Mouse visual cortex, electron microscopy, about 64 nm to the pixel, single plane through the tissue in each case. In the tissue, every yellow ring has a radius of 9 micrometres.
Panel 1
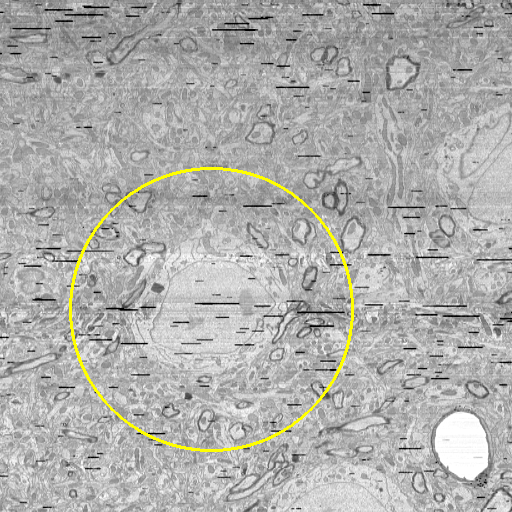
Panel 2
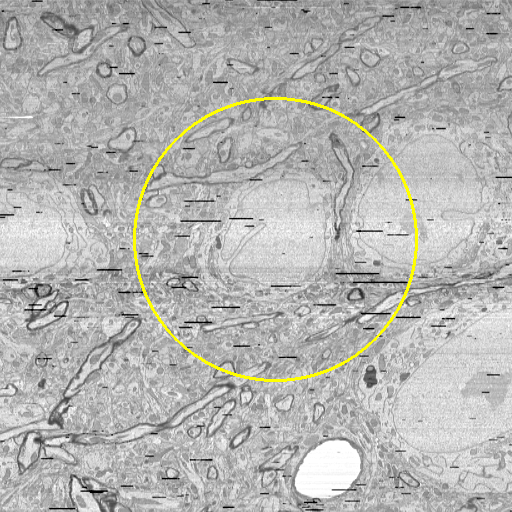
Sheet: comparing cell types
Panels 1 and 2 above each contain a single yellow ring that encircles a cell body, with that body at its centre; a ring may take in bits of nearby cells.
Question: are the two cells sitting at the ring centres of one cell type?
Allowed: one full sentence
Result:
Yes, the ring-centre cells in Panel 1 and Panel 2 are of one type.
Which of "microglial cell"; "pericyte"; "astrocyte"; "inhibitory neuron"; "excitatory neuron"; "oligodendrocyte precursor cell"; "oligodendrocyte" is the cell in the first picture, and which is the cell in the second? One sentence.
Each of the two pictures has an excitatory neuron at the ring centre.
